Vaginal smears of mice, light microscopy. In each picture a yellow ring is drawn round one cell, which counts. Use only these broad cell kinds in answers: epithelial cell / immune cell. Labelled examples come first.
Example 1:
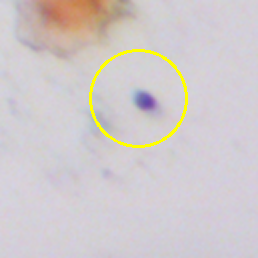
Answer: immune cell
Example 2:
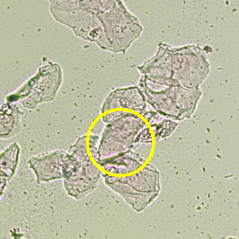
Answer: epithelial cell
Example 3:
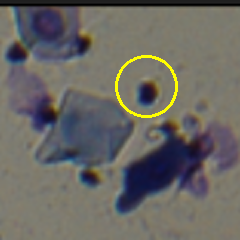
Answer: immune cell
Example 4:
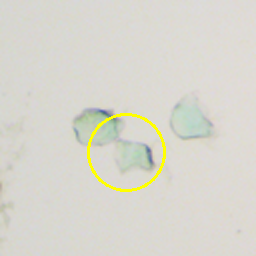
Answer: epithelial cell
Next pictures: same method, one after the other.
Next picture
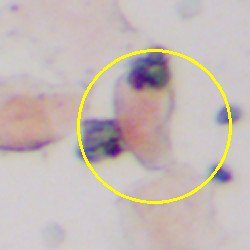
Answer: epithelial cell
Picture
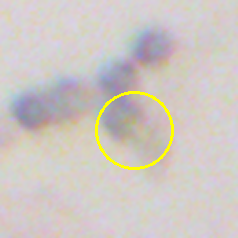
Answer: immune cell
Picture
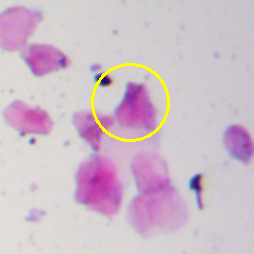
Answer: epithelial cell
